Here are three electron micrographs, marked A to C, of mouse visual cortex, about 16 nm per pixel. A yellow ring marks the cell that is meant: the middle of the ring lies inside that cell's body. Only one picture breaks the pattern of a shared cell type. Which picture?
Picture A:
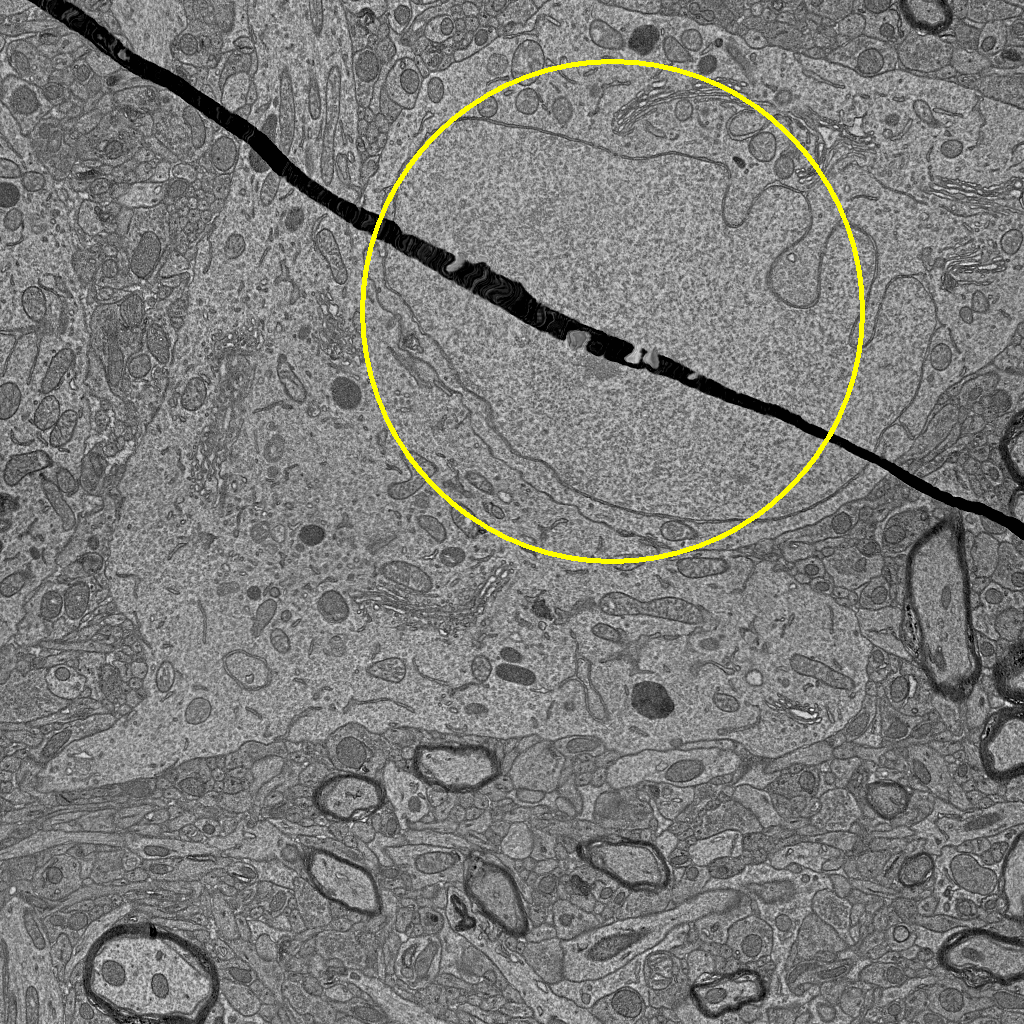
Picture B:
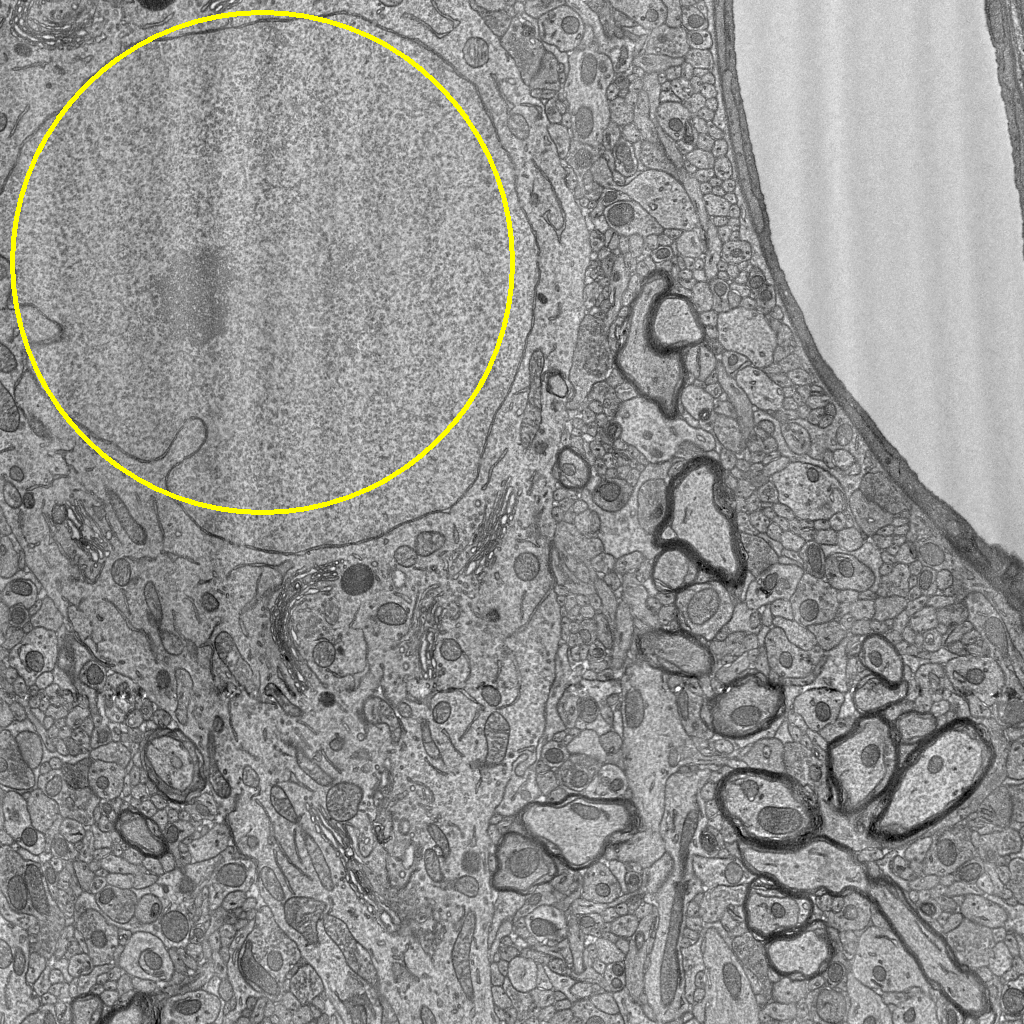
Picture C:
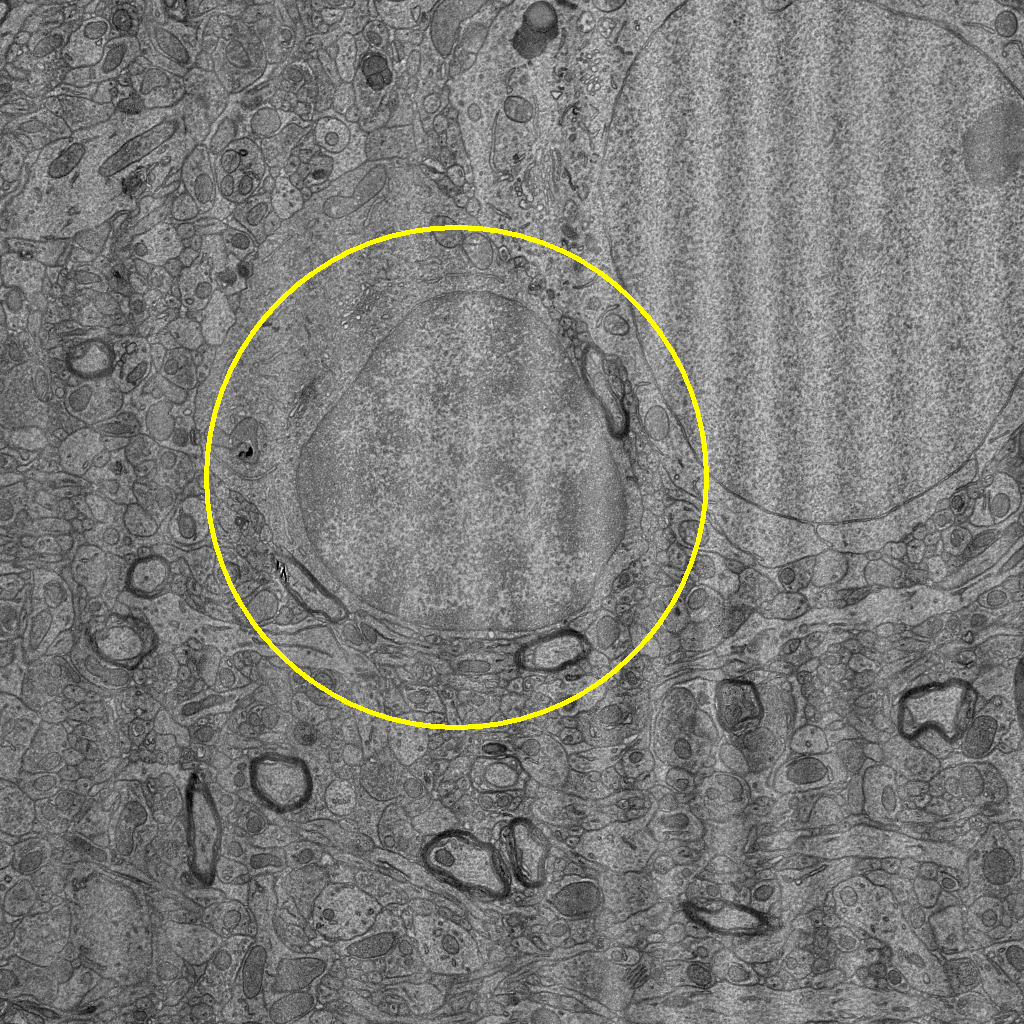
Unlike the rest, which show inhibitory neurons, picture C shows an oligodendrocyte.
